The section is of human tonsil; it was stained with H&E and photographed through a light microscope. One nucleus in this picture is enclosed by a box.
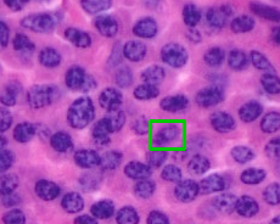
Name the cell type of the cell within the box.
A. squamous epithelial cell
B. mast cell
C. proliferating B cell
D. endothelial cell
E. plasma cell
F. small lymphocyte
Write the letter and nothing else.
E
